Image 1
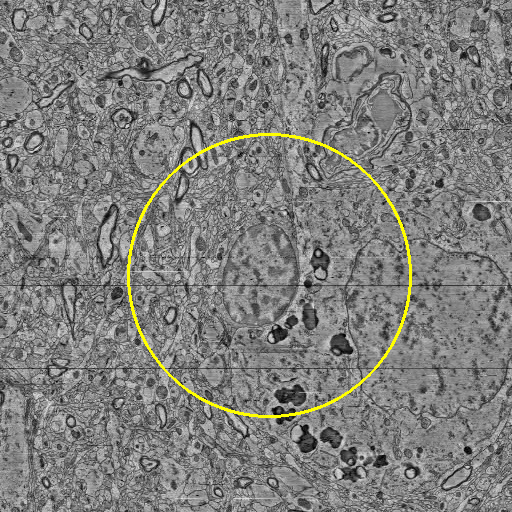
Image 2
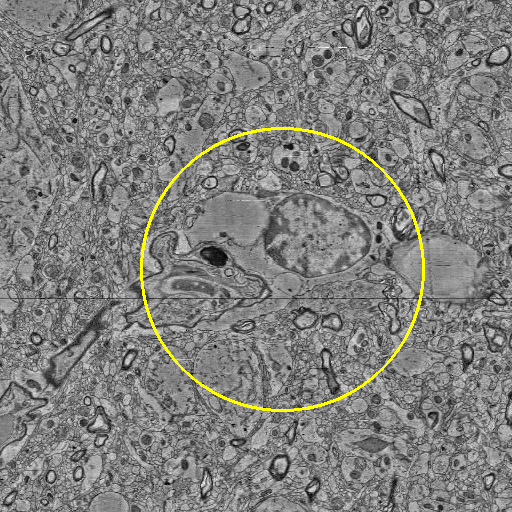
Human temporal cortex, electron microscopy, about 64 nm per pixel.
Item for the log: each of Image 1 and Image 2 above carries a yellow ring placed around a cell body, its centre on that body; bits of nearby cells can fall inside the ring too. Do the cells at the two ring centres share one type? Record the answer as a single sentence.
No, the two cells at the ring centres in Image 1 and Image 2 are of two types.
